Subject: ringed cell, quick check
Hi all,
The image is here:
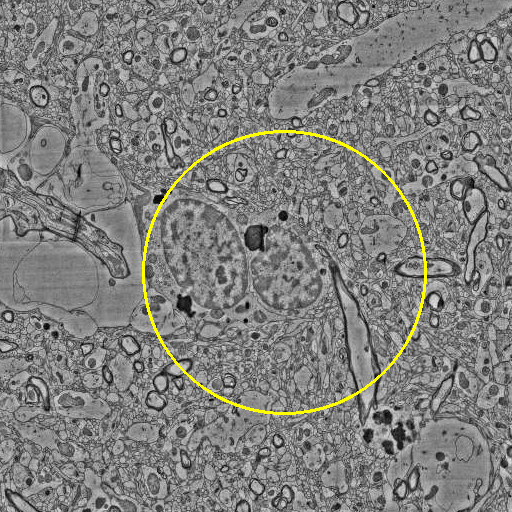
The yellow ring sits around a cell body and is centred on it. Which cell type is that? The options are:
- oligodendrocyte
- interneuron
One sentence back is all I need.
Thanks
That ringed cell is an oligodendrocyte.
